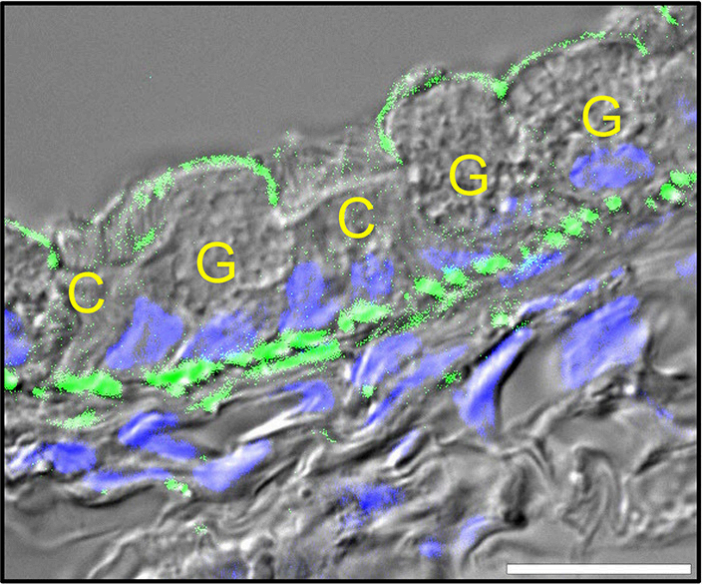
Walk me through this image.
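Several large cells with granular, vesicle-filled cytoplasm bulge into the lumen with rounded, dome-shaped apical surfaces. Thin continuous green lines trace these apical surfaces, while the cytoplasm of the cells stays largely unstained. Blue nuclei sit toward the base of the epithelium, and beneath it lies a layer of elongated, spindle-shaped nuclei in connective tissue. Bright green streaks and dashes run parallel to the epithelium in this layer just below the basal border.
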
